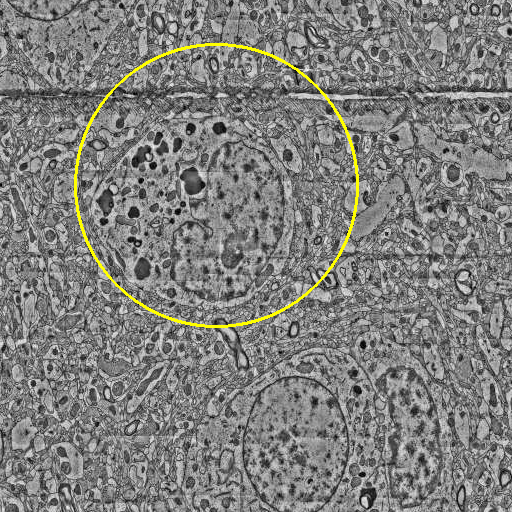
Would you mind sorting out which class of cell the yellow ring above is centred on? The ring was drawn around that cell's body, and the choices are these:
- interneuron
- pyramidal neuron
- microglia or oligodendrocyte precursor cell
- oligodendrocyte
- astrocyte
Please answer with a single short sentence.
This is the cell body of an interneuron.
